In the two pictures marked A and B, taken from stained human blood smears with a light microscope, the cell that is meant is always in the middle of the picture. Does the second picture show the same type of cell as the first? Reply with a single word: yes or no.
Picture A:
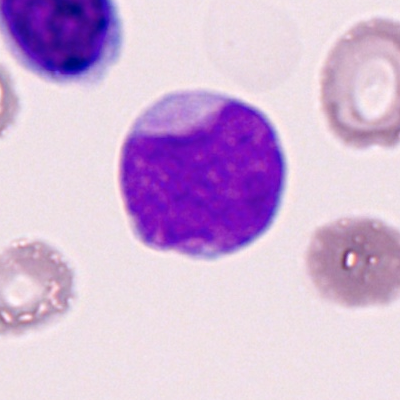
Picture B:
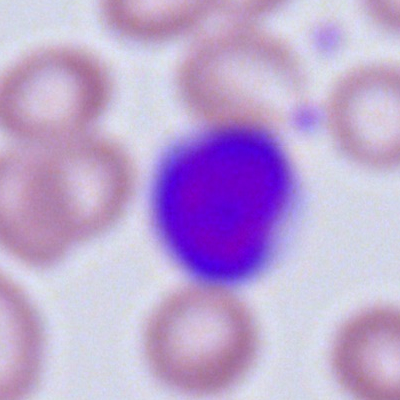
no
